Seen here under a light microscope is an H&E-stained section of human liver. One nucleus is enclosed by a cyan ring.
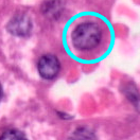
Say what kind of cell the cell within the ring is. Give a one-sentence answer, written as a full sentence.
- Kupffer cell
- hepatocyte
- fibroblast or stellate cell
Cell type answer for this item: the cell within the ring is a hepatocyte.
